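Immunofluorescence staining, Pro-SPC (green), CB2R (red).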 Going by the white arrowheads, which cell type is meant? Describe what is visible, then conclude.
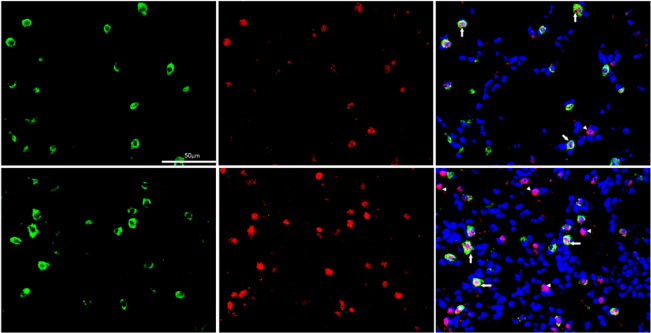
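Inflammatory cells. The arrowheads point to small round cells that are red but not green. These cells lie scattered among the blue nuclei, apart from the green cells.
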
